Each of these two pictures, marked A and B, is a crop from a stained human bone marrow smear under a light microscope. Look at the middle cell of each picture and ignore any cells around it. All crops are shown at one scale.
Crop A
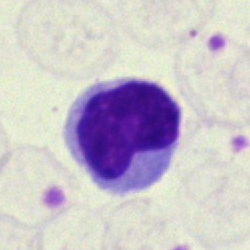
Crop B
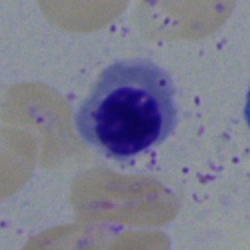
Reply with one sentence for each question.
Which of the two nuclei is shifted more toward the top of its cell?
The nucleus in crop A lies further toward the top of its cell.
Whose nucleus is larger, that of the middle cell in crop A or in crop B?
The nucleus in crop A is larger, with about 2 times the area of the one in crop B.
